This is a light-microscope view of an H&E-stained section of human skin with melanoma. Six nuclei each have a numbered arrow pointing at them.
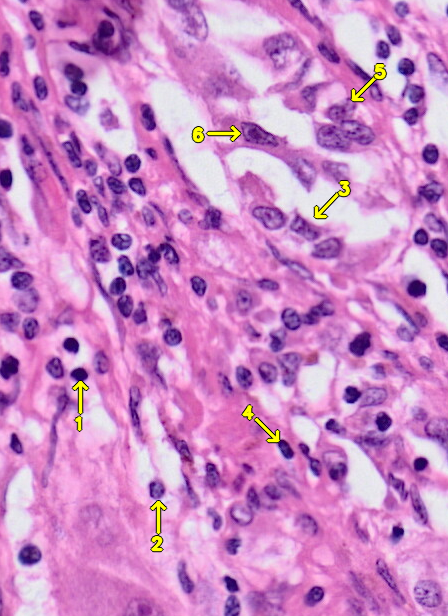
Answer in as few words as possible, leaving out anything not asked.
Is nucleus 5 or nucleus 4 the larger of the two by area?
5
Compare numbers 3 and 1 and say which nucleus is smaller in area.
1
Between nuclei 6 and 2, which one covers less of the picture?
2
